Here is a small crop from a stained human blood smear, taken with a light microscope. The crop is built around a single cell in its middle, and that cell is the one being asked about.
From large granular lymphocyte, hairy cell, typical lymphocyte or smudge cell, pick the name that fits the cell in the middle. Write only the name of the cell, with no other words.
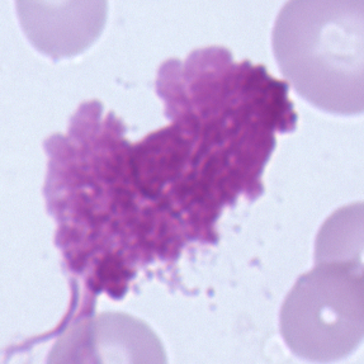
smudge cell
